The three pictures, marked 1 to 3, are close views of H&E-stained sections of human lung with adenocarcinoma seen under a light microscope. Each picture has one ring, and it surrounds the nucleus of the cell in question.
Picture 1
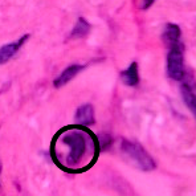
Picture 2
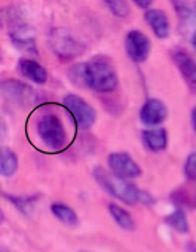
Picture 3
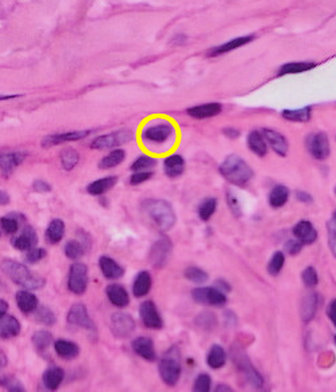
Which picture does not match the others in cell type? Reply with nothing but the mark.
3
